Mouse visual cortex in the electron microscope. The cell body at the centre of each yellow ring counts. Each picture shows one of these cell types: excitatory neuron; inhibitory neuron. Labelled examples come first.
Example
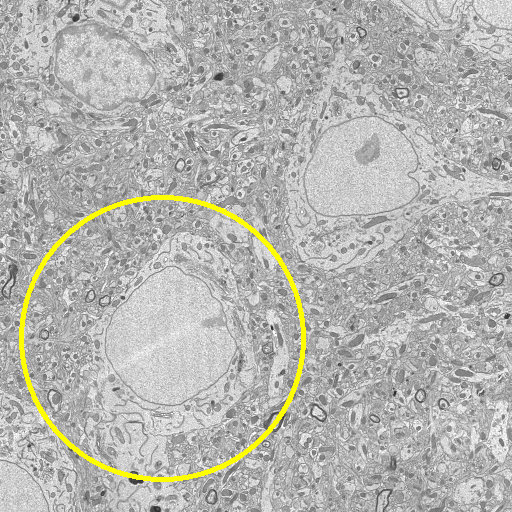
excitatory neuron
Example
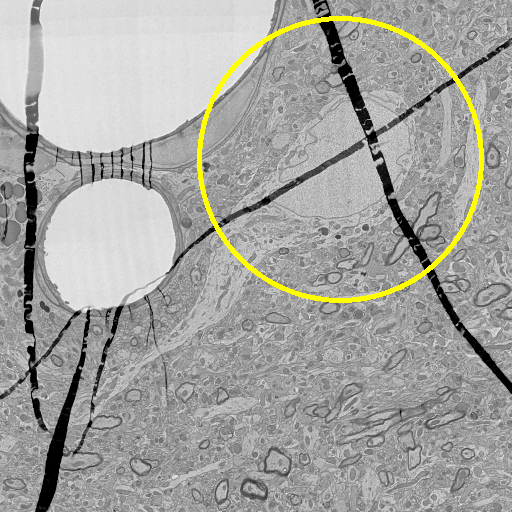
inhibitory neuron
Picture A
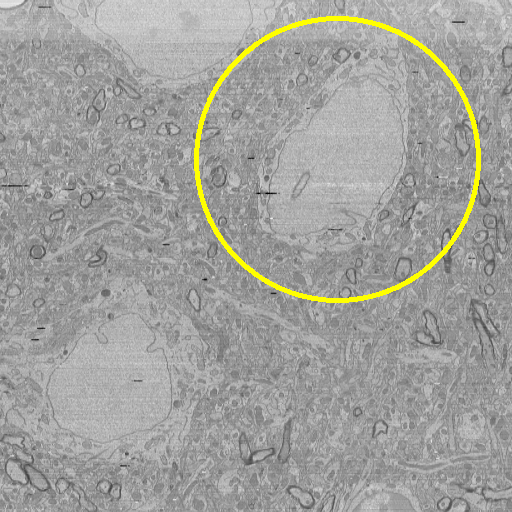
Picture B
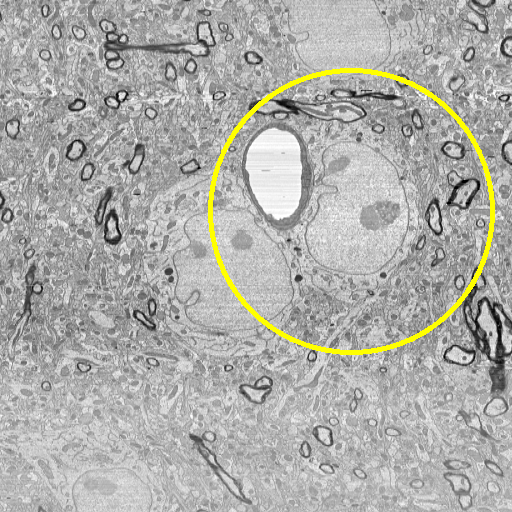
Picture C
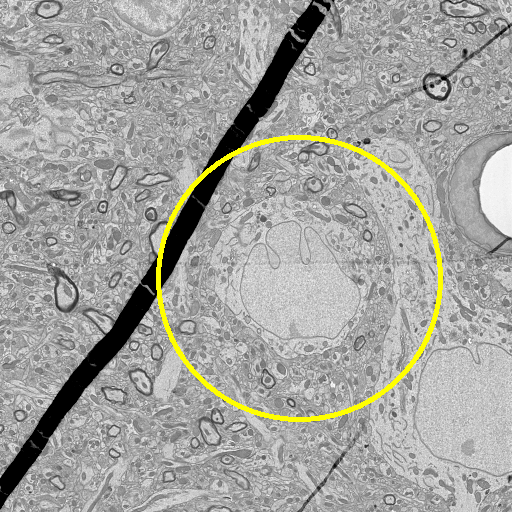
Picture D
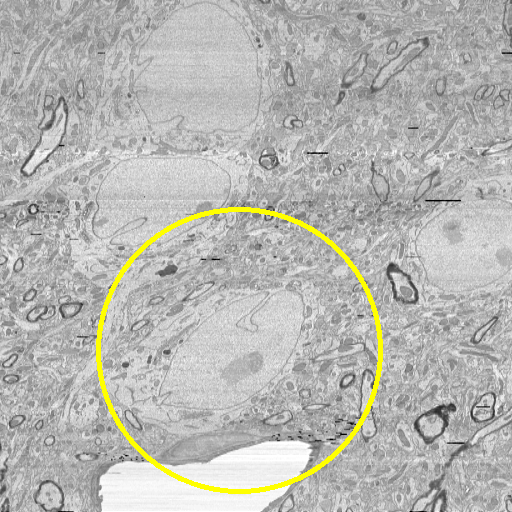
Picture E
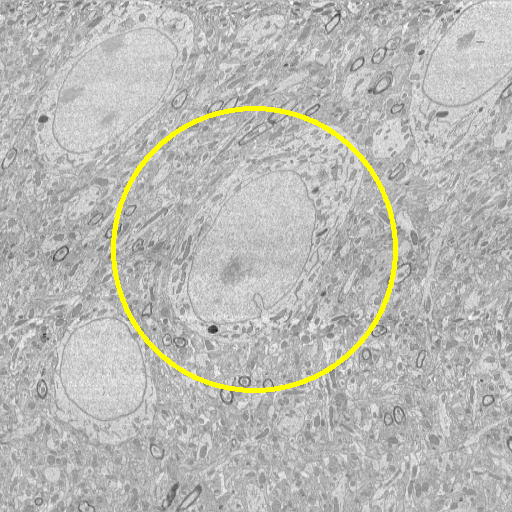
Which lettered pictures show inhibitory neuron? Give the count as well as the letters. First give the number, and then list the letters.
2: A, E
